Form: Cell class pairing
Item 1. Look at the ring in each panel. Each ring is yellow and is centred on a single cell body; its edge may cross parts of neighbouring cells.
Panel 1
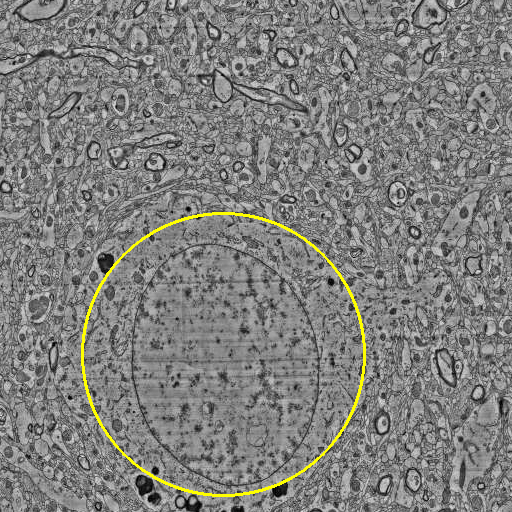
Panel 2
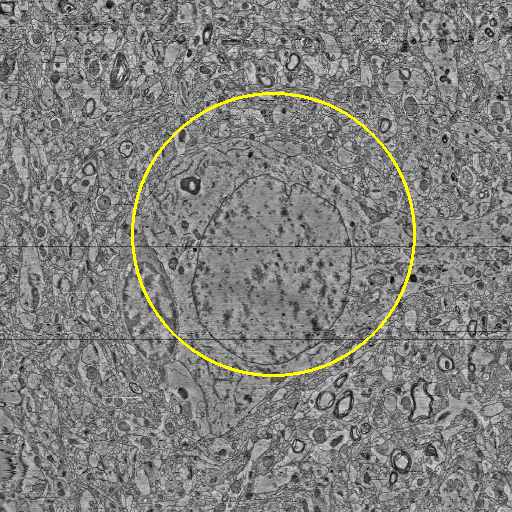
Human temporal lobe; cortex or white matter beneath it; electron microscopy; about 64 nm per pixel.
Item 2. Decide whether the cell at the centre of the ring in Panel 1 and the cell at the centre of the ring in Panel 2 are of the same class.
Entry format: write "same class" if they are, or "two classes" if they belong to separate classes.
same class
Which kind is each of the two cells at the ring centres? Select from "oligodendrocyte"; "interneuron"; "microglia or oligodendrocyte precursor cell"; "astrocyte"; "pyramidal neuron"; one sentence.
In both pictures the ring is centred on a pyramidal neuron.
